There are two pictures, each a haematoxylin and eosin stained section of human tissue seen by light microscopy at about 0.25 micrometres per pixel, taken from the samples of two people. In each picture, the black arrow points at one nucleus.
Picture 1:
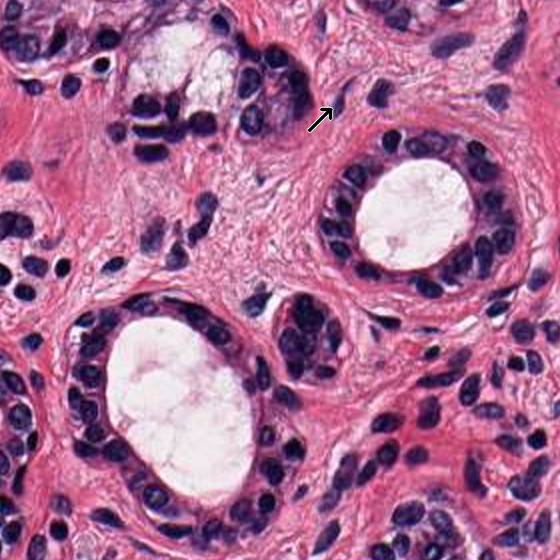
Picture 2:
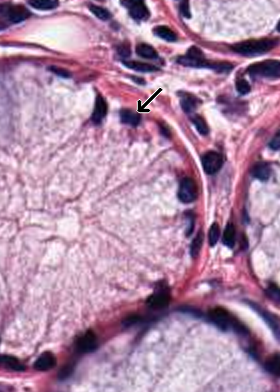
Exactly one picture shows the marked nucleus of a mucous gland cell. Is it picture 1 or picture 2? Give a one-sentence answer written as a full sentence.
Placed on the nucleus of a mucous gland cell is the mark in picture 2.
